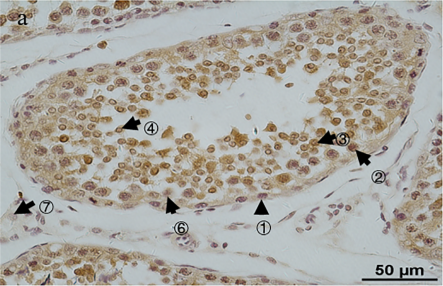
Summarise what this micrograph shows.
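This is a seminiferous tubule of the testis in which the germ cells are stained brown. The cells at the basal edge and the flattened cells of the tubule wall are paler. Outside the tubule, scattered interstitial cells lie in the pale connective tissue between tubules.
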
